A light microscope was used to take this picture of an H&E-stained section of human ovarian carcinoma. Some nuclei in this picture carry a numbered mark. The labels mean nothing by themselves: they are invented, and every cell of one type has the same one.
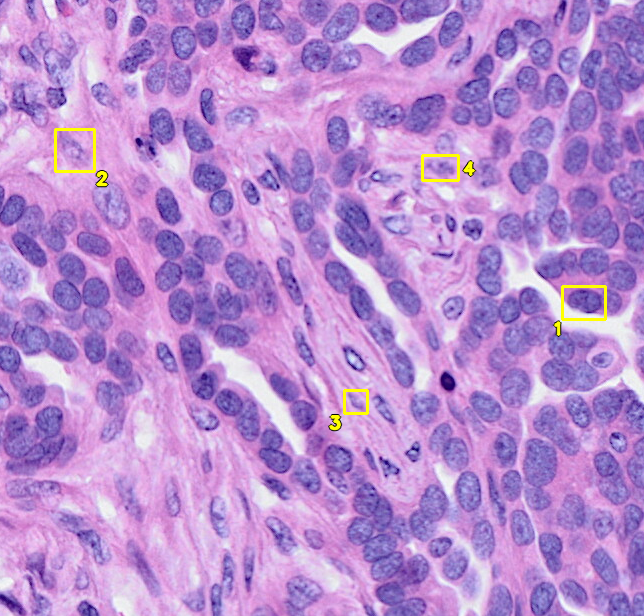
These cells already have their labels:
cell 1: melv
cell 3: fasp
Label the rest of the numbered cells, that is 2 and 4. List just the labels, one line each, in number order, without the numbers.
fasp
fasp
